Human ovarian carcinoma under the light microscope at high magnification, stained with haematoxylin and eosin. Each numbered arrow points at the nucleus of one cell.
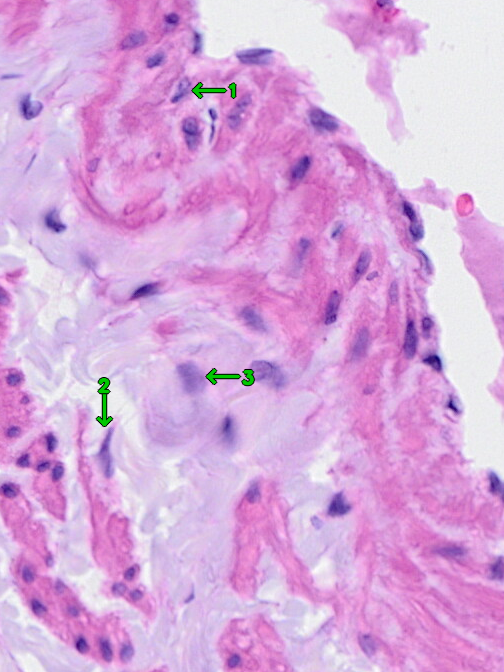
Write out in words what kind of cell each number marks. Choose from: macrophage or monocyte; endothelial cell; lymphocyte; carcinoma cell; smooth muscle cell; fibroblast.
Cell 1 is an endothelial cell. Cells 2 and 3 are fibroblasts.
